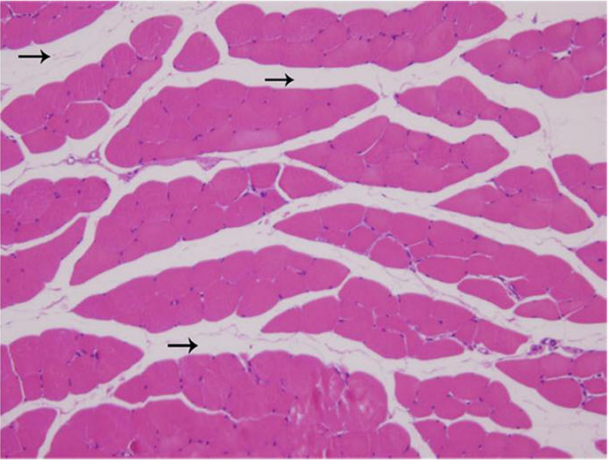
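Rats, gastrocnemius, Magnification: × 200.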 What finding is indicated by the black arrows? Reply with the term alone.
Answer: enlarged muscle fiber spaces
